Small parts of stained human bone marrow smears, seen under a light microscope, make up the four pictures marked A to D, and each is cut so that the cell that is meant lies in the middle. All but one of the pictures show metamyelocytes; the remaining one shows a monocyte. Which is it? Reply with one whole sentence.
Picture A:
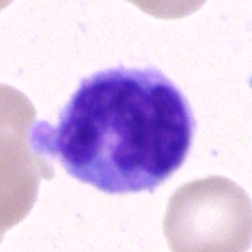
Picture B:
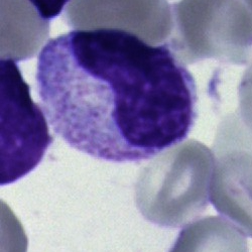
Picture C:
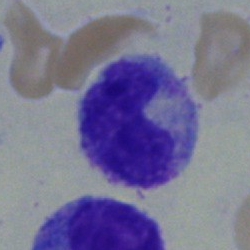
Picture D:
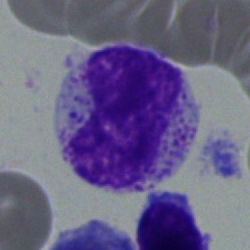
The monocyte is the one in picture A.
